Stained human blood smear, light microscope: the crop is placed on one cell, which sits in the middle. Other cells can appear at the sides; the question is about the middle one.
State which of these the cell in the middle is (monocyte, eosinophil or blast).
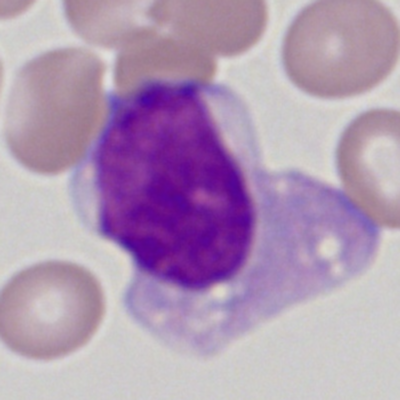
monocyte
